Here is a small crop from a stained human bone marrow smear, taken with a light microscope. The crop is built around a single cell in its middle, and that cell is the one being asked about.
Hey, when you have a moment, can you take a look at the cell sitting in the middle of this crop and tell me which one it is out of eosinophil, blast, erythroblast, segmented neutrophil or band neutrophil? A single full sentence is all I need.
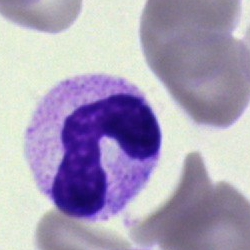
The central cell in this smear crop is a band neutrophil.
